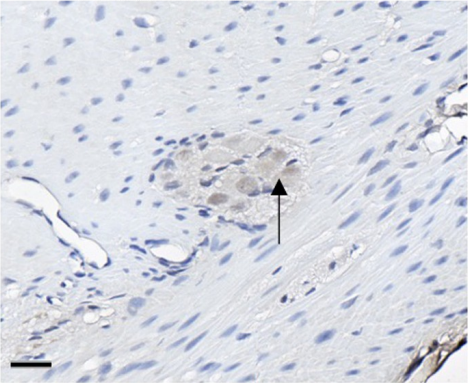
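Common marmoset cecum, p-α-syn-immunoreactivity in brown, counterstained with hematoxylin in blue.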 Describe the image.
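Among layers of spindle-shaped smooth muscle cells with elongated blue nuclei lies a compact, rounded cluster of much larger cells. These large cells have abundant pale cytoplasm with a faint brown tint and round nuclei, and they are packed closely together. This cluster is a myenteric ganglion of nerve cell bodies lying within the muscular wall of the gut.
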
